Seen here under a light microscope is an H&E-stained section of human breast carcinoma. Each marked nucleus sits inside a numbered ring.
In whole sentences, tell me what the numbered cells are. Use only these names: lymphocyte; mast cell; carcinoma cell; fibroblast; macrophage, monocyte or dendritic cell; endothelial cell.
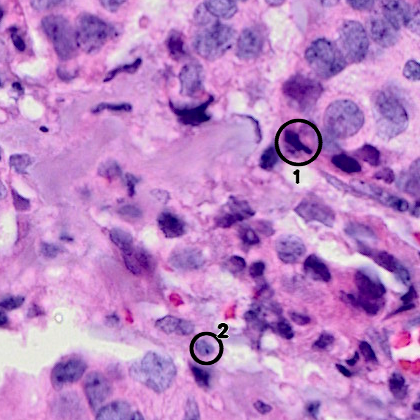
Cell 1 is a carcinoma cell and cell 2 is a mast cell.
